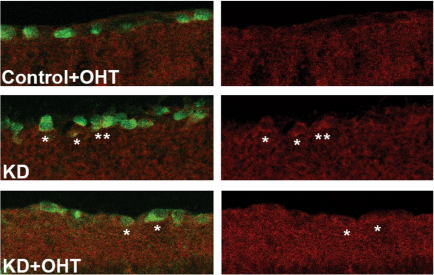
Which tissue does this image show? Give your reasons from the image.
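Inner retina. A row of rounded green cell bodies lies along the upper edge of each section. Below them is a broad, evenly textured layer without cell bodies.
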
